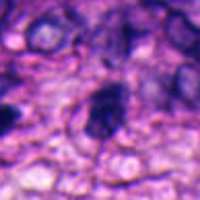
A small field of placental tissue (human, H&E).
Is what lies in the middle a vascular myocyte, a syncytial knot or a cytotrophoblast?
It is a vascular myocyte.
